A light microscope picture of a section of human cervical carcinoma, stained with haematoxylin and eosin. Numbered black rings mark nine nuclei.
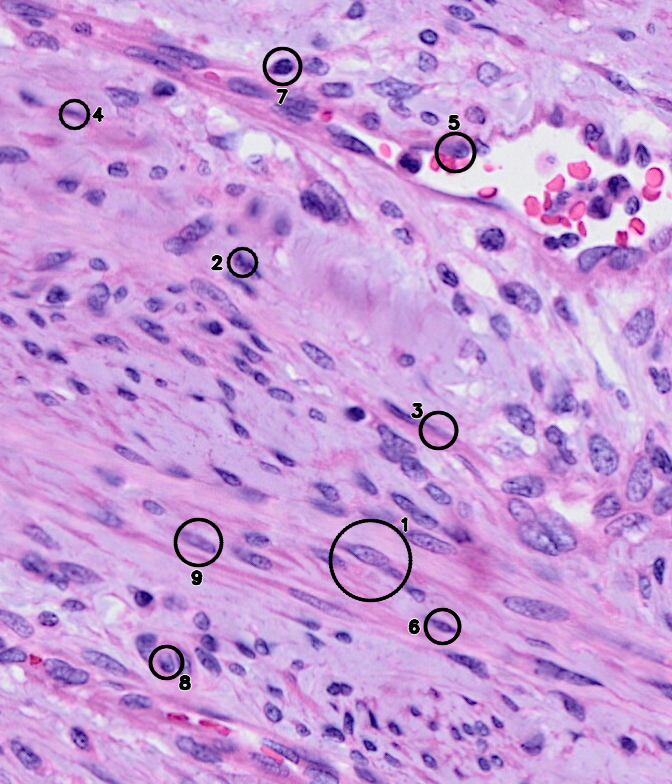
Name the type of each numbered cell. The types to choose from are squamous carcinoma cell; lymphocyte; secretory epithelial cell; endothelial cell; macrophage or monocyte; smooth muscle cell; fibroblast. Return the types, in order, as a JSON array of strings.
["smooth muscle cell", "fibroblast", "endothelial cell", "smooth muscle cell", "endothelial cell", "smooth muscle cell", "lymphocyte", "endothelial cell", "smooth muscle cell"]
